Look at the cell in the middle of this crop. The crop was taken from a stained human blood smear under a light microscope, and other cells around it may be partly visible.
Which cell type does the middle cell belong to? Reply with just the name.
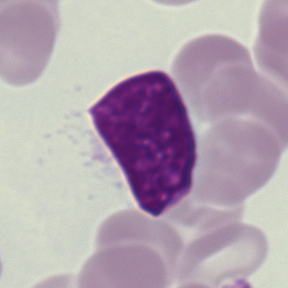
smudge cell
